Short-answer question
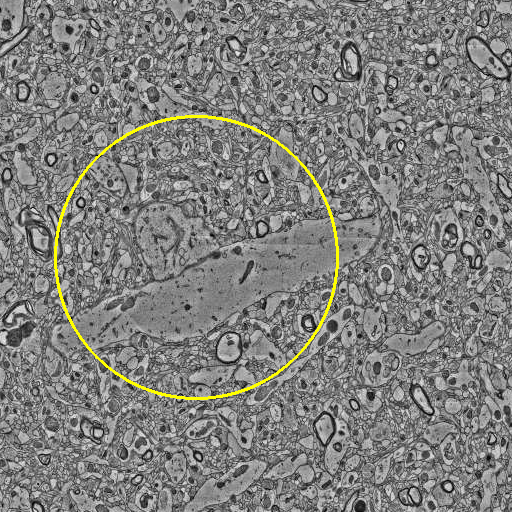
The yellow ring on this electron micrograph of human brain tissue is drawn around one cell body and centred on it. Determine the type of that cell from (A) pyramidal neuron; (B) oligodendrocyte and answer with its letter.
A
